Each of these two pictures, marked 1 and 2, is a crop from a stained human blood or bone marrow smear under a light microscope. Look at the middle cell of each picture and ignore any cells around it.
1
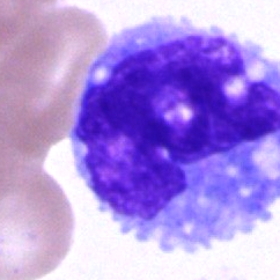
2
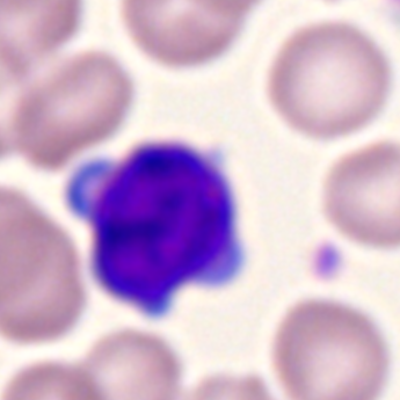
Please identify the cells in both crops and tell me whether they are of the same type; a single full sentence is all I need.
No, crop 1 shows a monocyte, and the cell in crop 2 is a lymphocyte.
